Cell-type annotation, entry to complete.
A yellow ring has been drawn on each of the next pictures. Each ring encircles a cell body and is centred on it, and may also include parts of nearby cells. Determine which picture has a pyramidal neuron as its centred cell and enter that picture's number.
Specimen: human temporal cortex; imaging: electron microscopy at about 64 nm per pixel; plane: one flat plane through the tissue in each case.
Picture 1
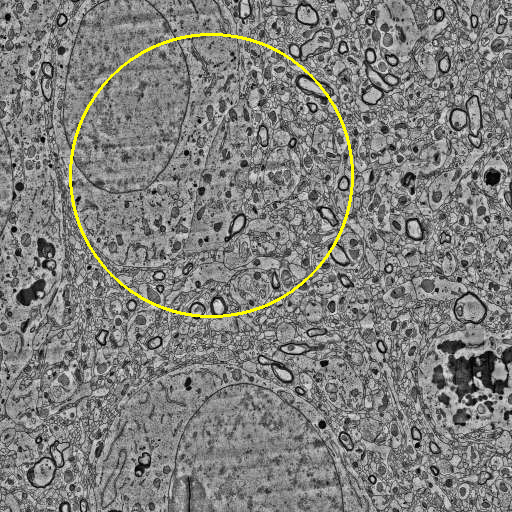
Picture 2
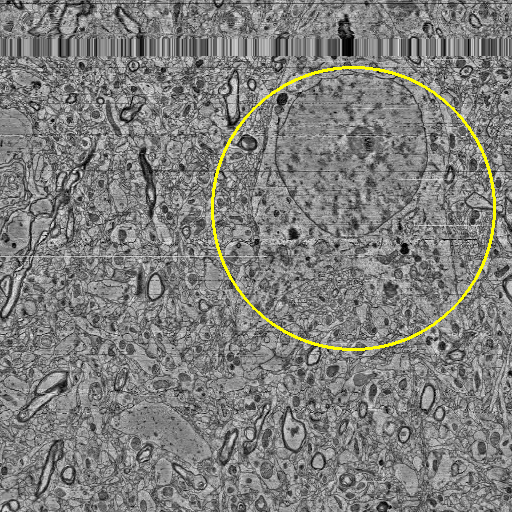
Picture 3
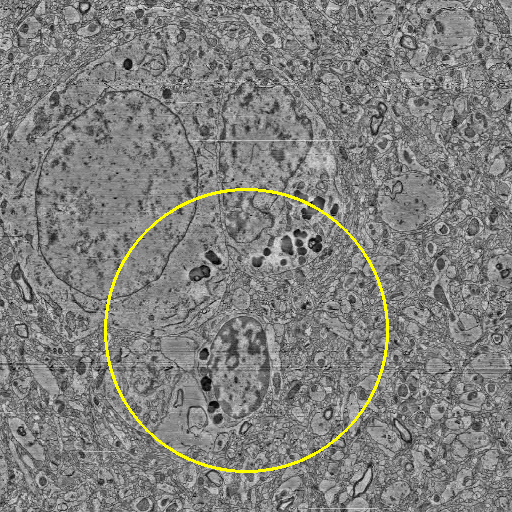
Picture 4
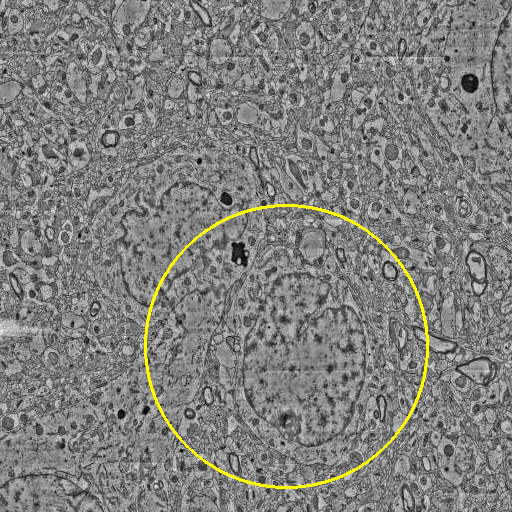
2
